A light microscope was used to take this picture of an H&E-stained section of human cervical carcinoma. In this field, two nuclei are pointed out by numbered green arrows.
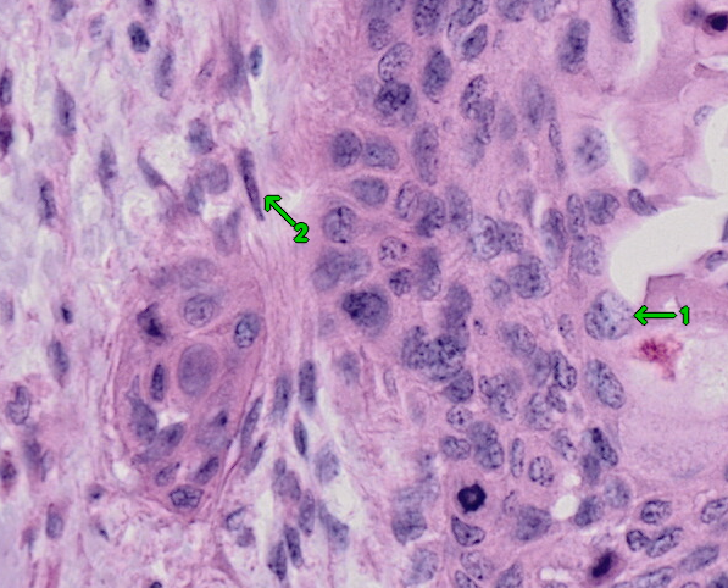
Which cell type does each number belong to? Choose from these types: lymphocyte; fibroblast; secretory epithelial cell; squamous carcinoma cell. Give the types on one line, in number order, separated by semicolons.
squamous carcinoma cell; fibroblast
